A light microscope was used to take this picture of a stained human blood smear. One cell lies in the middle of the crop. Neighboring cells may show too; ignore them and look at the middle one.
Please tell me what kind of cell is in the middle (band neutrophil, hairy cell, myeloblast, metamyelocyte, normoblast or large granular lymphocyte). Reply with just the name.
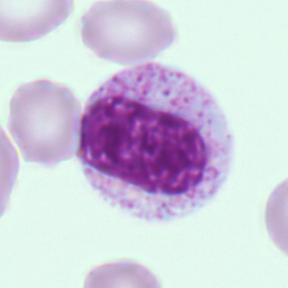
metamyelocyte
